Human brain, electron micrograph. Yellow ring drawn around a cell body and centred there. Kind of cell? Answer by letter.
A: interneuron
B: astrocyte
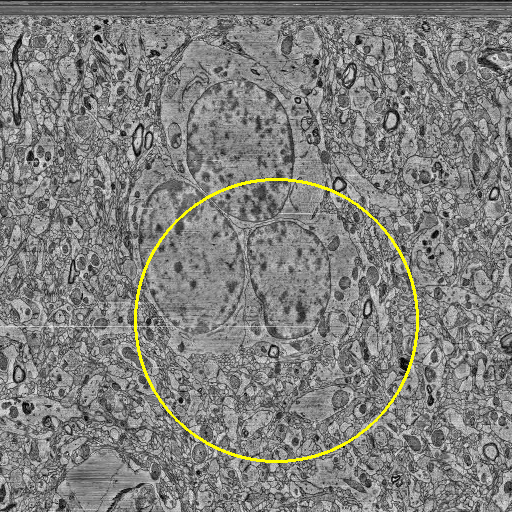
B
